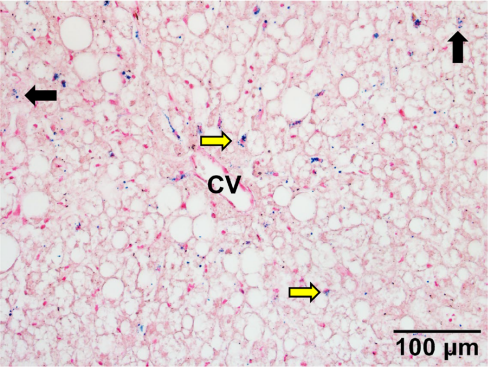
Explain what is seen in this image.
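The hepatocytes are pale and filled with clear round vacuoles of varied size, some large enough to push the cell contents aside, so the tissue looks foamy and lacy. Small pink-red nuclei are scattered among the vacuoles. The blue granules are small and dispersed. Some lie in slender cells lining the spaces between hepatocytes near the vein, and others sit within the hepatocytes farther out.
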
